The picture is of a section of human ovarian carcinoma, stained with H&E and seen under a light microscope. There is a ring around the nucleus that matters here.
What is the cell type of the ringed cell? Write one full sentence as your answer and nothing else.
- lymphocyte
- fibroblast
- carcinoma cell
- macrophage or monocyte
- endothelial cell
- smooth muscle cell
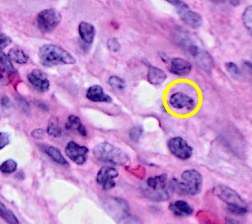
By cell type, the ringed cell is a lymphocyte.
